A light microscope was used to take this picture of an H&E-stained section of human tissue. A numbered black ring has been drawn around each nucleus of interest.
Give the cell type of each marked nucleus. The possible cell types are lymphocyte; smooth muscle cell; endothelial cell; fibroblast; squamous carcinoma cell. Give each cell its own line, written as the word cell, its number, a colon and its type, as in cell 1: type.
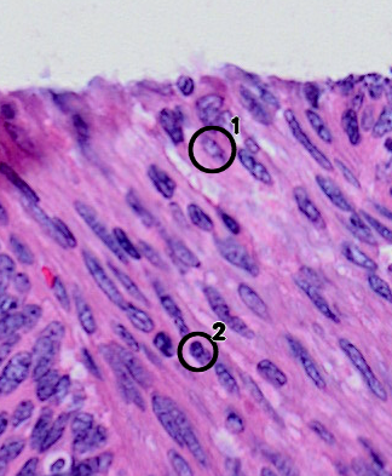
cell 1: endothelial cell
cell 2: lymphocyte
